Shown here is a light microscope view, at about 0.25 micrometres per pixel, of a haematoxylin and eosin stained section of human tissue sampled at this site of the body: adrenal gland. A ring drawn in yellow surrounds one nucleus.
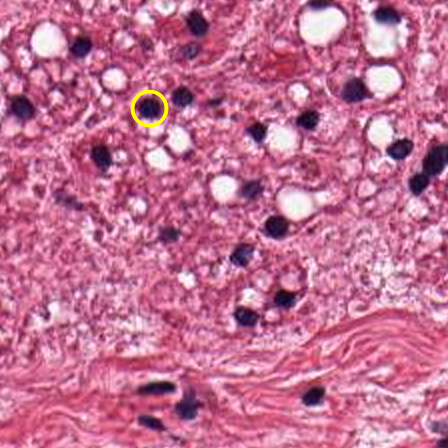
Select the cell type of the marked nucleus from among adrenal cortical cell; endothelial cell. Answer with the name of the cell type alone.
adrenal cortical cell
